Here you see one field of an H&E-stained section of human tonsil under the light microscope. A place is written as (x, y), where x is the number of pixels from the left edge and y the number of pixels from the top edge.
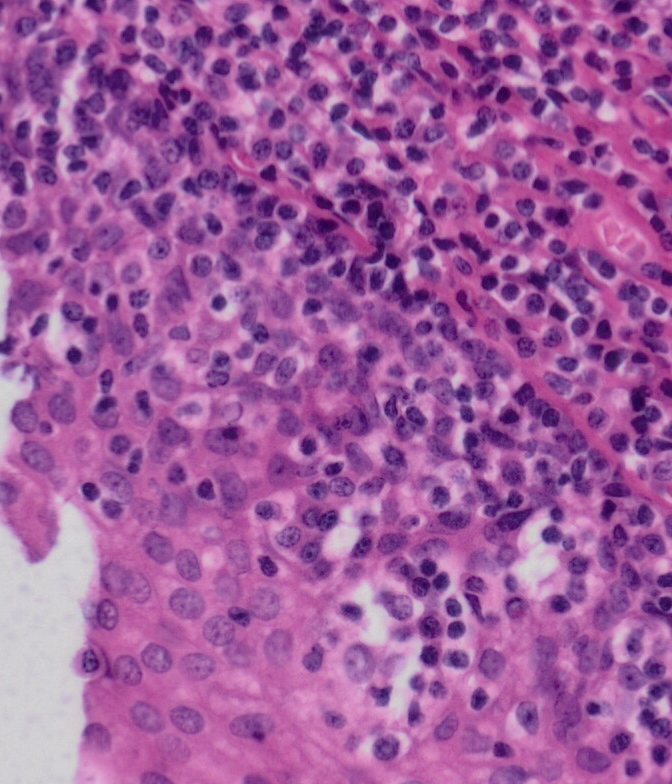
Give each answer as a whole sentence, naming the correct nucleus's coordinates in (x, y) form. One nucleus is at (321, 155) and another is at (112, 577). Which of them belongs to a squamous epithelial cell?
Identify the nucleus at (112, 577) as the one belonging to a squamous epithelial cell.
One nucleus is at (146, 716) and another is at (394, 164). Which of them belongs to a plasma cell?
At (394, 164) lies the nucleus that belongs to a plasma cell.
